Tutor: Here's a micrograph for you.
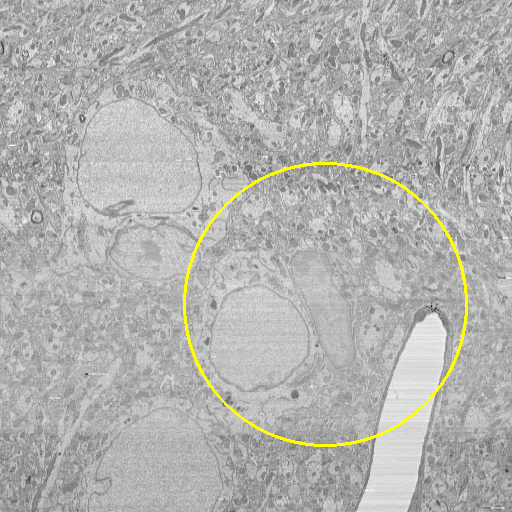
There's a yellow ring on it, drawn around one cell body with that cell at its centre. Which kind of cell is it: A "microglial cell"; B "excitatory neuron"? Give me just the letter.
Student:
A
